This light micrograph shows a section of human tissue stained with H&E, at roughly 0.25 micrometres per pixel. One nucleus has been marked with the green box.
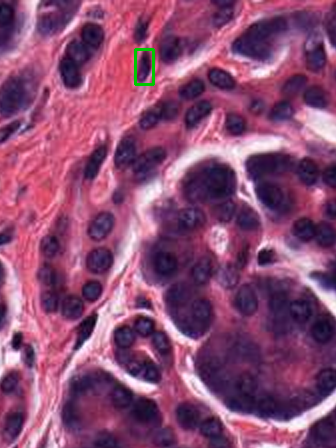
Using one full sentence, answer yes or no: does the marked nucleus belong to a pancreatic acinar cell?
No, the marked nucleus is contained in a supporting cell and not in a pancreatic acinar cell.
